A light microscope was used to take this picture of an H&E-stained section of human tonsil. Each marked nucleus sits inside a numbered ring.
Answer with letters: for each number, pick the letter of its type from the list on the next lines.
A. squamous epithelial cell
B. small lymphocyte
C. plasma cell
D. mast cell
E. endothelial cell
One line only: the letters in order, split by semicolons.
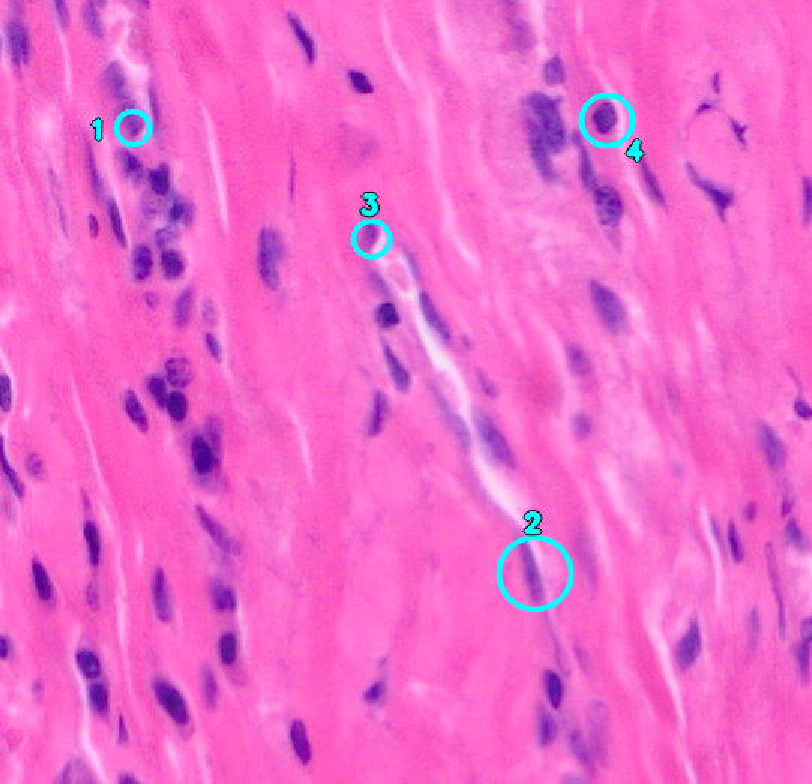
E; E; E; D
